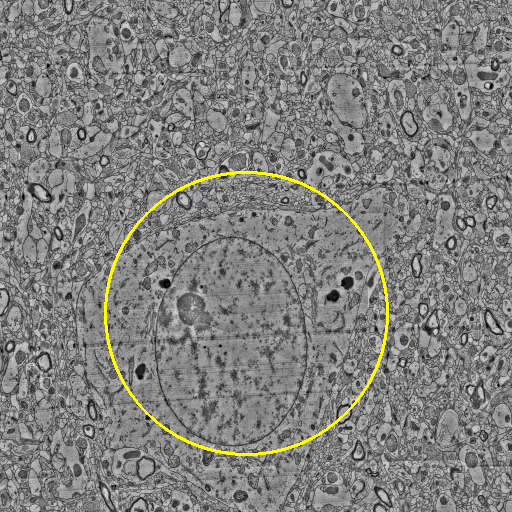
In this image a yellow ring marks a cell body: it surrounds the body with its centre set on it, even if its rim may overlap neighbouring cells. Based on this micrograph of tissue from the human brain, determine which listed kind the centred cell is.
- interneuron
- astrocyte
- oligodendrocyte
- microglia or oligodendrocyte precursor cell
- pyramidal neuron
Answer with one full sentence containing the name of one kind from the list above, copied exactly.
It is a pyramidal neuron whose body the yellow ring encloses at its centre.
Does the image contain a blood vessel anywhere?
No, there is no blood vessel.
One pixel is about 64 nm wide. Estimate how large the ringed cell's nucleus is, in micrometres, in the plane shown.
In this plane the nucleus measures roughly 13 by 10 micrometres.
